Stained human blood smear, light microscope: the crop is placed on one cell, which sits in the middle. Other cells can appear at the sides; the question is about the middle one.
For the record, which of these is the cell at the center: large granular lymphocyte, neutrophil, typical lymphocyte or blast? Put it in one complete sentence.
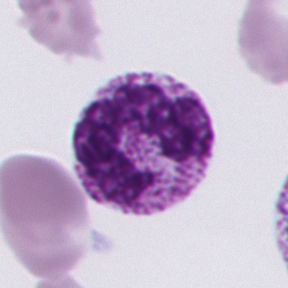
The centrally placed cell is classified as a neutrophil.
